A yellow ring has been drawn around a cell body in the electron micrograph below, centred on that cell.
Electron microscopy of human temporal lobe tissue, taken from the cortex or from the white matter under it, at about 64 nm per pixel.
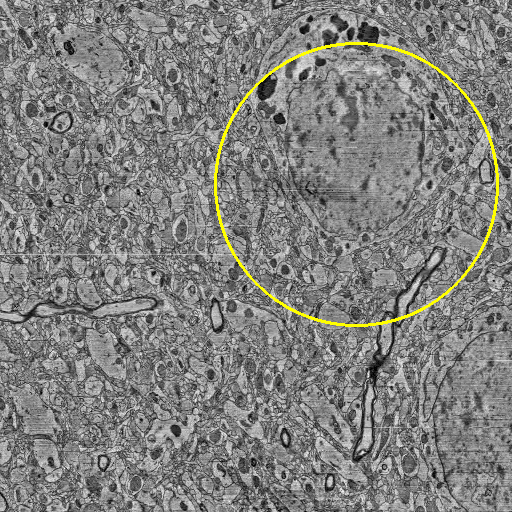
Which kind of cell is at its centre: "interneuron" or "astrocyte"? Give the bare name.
interneuron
